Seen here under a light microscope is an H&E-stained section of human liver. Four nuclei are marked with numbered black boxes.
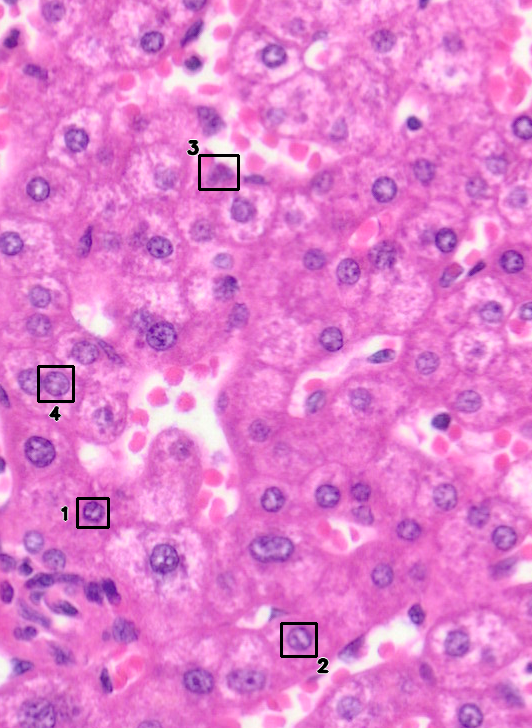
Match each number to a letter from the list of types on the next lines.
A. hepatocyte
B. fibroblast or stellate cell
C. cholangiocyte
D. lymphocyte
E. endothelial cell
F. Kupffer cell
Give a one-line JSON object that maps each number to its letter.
{"1": "A", "2": "A", "3": "E", "4": "A"}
